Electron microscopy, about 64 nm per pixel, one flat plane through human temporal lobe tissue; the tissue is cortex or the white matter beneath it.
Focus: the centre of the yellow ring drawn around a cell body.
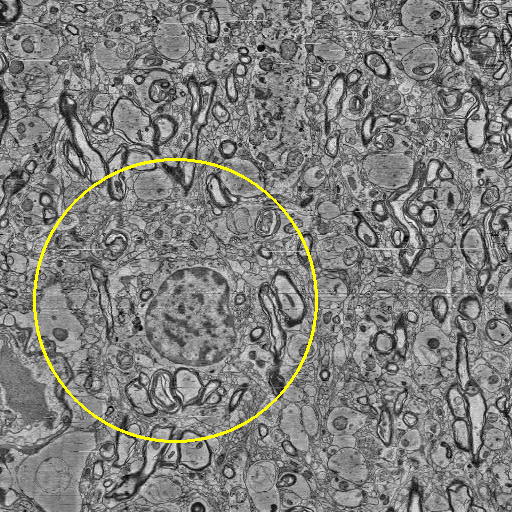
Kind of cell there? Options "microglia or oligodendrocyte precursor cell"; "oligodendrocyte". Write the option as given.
microglia or oligodendrocyte precursor cell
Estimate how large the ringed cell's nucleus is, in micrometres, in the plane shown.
In this plane, approximately 6 micrometres across.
